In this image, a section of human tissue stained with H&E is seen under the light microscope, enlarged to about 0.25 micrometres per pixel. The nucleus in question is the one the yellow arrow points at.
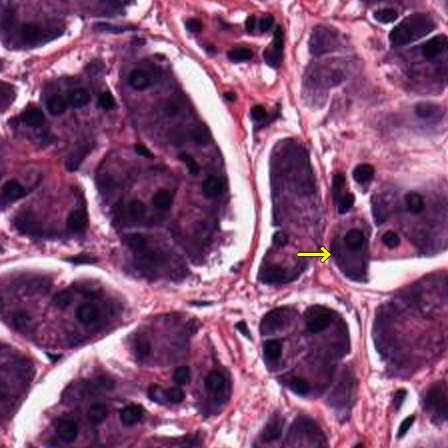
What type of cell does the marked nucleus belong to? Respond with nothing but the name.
pancreatic acinar cell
